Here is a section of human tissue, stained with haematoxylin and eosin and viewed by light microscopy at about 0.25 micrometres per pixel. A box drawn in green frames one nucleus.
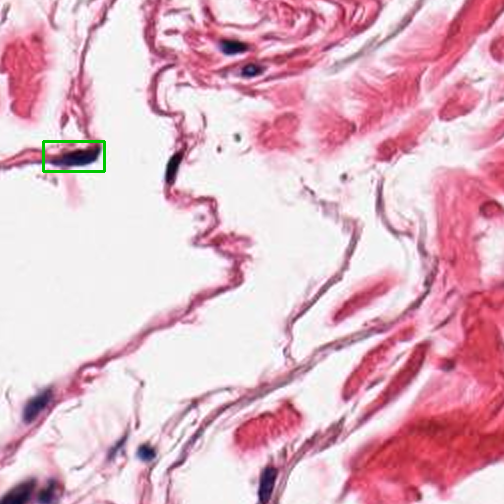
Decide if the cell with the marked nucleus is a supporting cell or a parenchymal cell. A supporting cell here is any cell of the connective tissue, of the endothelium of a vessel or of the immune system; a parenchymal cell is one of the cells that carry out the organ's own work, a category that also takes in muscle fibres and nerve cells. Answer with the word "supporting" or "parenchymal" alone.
supporting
